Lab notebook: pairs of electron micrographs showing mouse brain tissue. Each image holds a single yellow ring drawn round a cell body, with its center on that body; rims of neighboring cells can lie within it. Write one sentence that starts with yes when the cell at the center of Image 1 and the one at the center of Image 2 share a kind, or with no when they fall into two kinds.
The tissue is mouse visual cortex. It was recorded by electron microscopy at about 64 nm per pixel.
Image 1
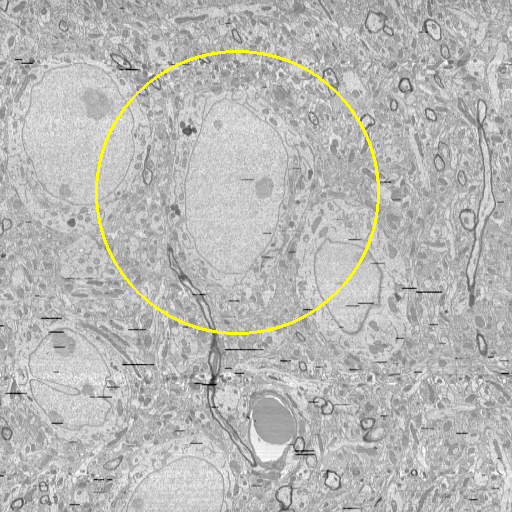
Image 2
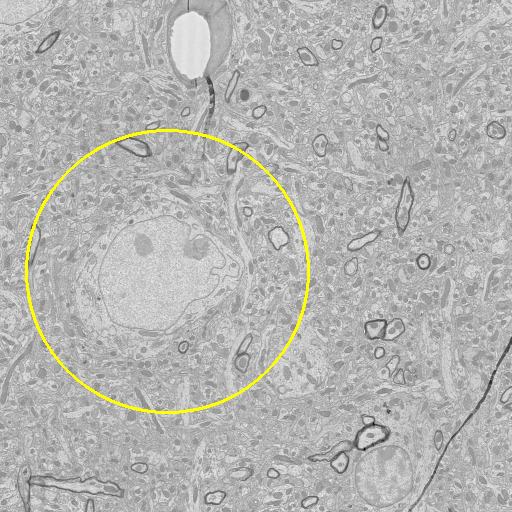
Yes, the centered cell in Image 1 and the centered cell in Image 2 are of one kind.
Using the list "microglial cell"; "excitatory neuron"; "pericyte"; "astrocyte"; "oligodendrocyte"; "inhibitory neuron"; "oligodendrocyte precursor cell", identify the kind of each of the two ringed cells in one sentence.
The cell at the ring centre is an excitatory neuron in both pictures.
